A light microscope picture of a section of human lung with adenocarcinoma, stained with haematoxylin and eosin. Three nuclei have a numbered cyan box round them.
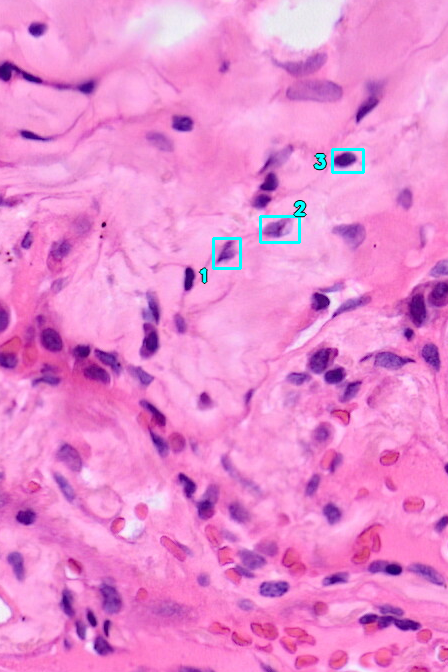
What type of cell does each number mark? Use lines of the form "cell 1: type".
cell 1: fibroblast
cell 2: fibroblast
cell 3: lymphocyte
